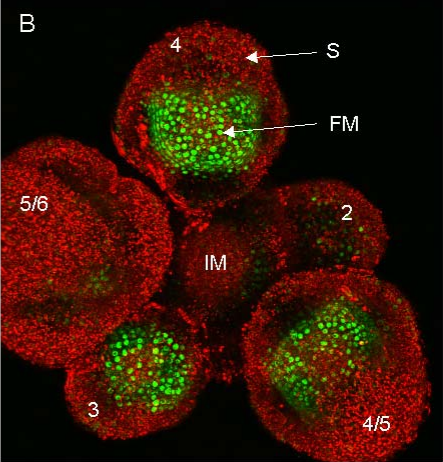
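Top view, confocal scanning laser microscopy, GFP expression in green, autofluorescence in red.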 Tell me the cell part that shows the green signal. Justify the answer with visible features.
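The green signal forms many separate small round dots. The dots are closely packed, one per cell-sized unit, in the centre of the buds.
Conclusion: nuclei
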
